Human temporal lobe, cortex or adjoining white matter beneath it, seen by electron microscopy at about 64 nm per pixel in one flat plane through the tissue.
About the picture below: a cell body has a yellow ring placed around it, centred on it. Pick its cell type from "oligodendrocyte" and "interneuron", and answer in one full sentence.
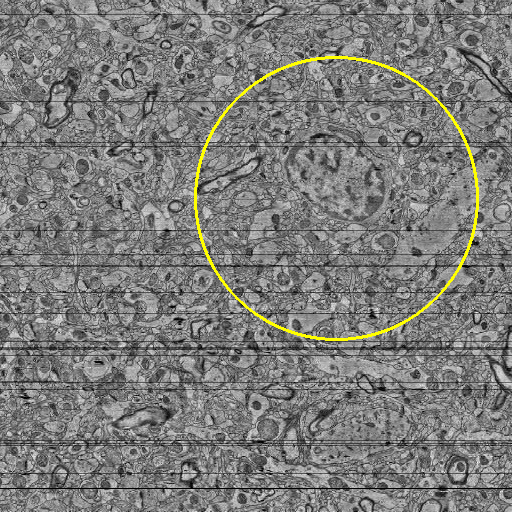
In the picture, an oligodendrocyte is the cell sitting at the centre of the yellow ring.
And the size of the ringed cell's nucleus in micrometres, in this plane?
Roughly 7 by 5 micrometres in this plane, for the nucleus of the ringed cell.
